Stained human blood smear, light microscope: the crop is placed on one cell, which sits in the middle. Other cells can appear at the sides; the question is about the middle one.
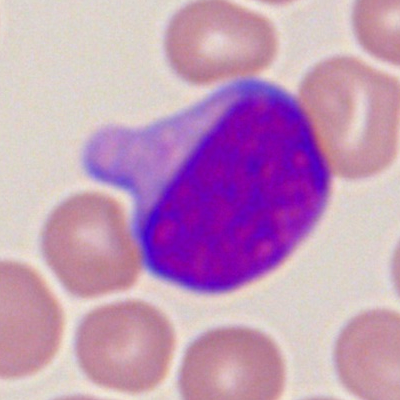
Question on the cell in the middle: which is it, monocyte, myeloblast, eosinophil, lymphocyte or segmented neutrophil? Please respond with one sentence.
Of the cells in this crop, the central one is a myeloblast.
